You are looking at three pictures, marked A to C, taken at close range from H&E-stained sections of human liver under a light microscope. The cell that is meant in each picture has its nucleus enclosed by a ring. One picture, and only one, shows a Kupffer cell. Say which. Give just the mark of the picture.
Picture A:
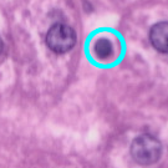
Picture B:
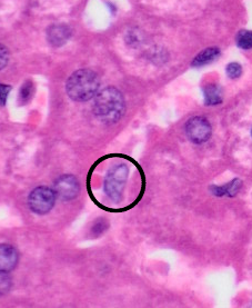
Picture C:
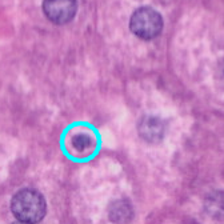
B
